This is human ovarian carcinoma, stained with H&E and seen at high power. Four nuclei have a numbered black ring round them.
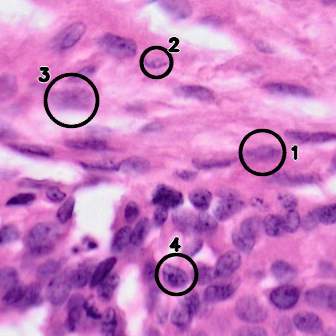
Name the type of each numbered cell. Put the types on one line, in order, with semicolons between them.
fibroblast; fibroblast; fibroblast; macrophage or monocyte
